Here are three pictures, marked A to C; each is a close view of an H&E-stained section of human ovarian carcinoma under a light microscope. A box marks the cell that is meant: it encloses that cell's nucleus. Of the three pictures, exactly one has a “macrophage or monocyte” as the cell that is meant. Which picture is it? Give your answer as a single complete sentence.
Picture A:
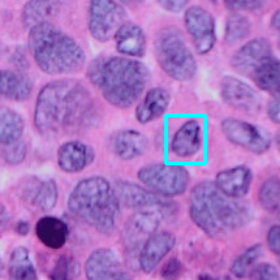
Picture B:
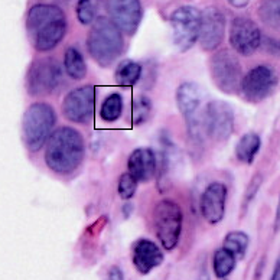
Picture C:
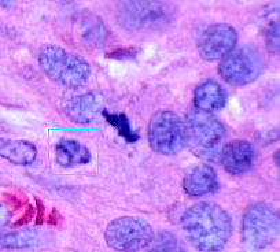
The picture with the “macrophage or monocyte” is A.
